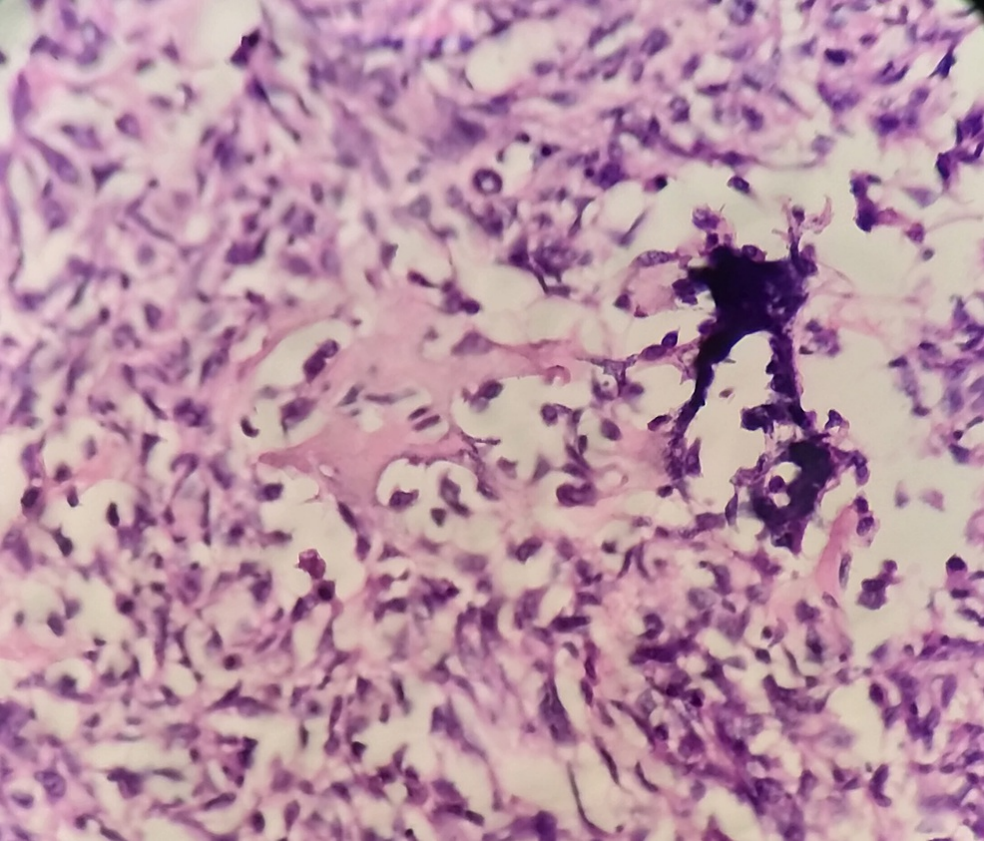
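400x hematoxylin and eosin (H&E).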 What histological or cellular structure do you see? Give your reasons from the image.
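Irregular pink, glassy strands of extracellular material lie between the tumor cells in the centre. Atypical cells sit along and within the pink material.
Hence: malignant matrix.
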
